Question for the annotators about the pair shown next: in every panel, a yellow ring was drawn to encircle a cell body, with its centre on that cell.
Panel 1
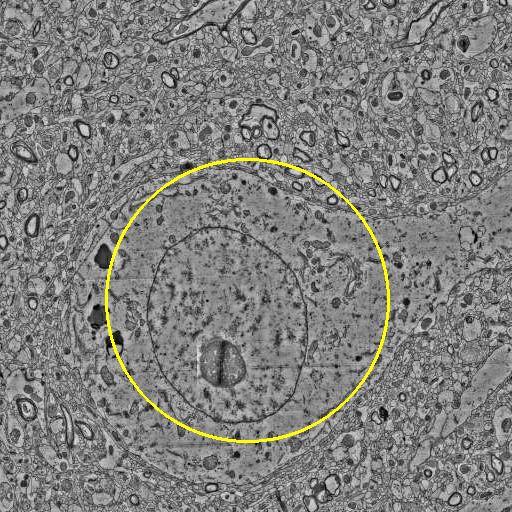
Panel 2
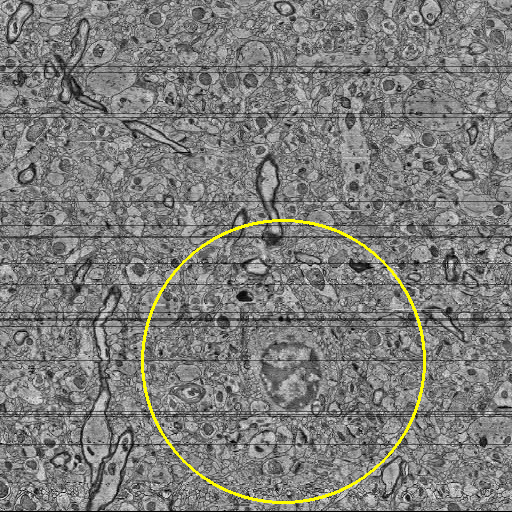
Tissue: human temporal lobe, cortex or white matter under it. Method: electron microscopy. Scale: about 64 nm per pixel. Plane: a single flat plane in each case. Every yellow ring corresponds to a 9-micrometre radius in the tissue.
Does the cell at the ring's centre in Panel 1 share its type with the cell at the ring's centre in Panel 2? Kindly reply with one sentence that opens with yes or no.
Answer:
No, in Panels 1 and 2 the cells at the ring centres belong to separate types.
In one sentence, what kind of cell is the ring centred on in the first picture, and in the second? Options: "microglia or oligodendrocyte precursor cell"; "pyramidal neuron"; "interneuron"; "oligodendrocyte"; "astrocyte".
The cell at the centre of the second ring is an oligodendrocyte; the first ring's cell is a pyramidal neuron.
